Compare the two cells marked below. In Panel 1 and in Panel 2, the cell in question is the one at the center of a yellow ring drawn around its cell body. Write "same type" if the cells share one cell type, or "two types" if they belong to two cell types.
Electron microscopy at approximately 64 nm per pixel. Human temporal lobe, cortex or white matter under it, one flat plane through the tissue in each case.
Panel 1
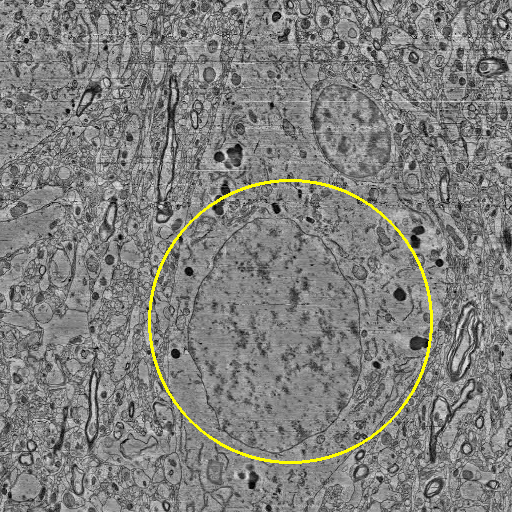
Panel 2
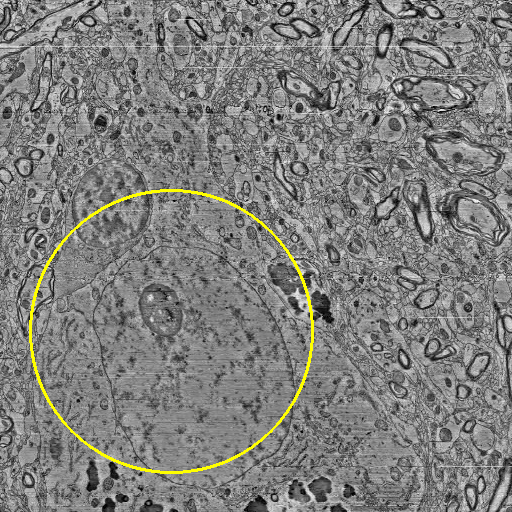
same type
